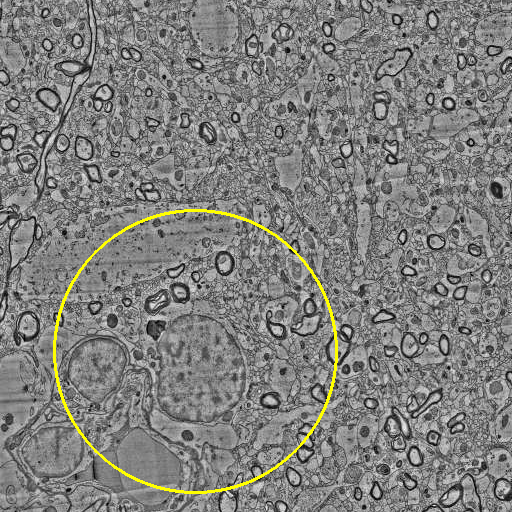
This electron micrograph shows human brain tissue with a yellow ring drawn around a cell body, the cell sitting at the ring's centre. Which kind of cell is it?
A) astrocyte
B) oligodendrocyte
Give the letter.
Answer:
B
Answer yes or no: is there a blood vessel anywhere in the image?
Yes, a blood vessel shows in the picture.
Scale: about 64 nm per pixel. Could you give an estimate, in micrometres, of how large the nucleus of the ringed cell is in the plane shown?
In this plane, approximately 7 micrometres across.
